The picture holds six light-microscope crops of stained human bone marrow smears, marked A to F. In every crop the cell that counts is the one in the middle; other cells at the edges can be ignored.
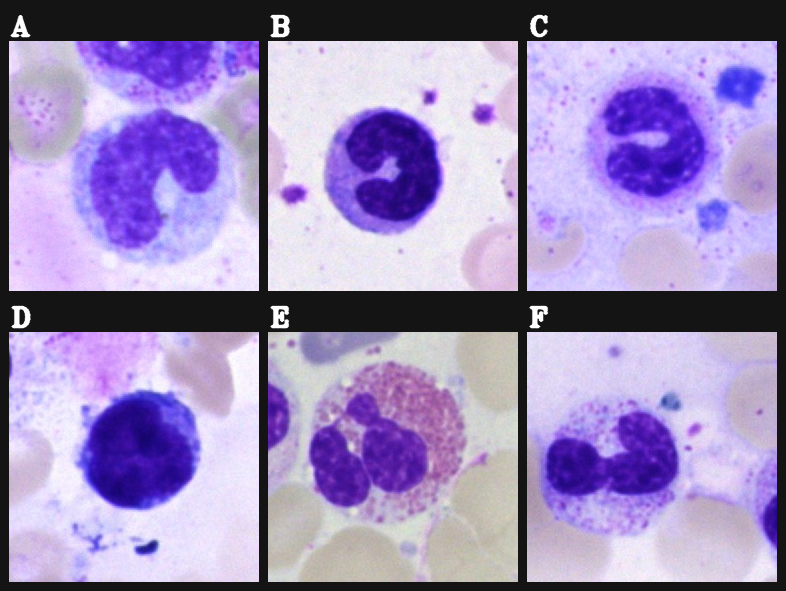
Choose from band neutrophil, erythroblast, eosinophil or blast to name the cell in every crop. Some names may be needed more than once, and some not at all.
A: band neutrophil
B: band neutrophil
C: band neutrophil
D: blast
E: eosinophil
F: band neutrophil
